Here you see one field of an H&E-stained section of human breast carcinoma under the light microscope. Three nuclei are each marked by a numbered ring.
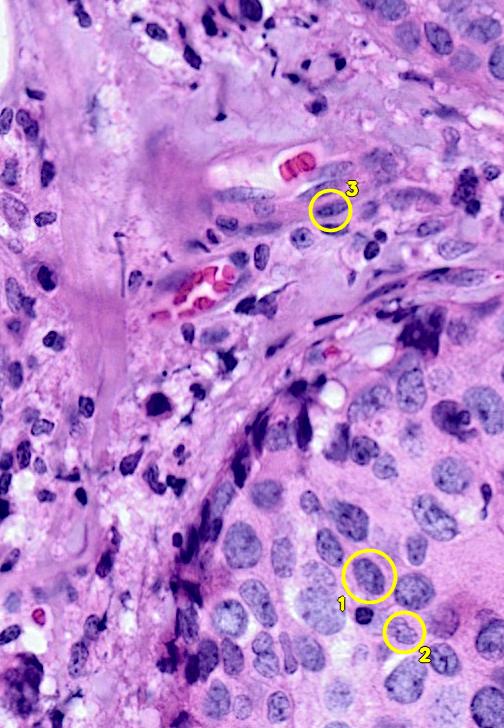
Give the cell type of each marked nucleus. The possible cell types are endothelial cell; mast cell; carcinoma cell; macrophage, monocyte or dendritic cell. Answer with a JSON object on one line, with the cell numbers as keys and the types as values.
{"1": "carcinoma cell", "2": "carcinoma cell", "3": "endothelial cell"}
